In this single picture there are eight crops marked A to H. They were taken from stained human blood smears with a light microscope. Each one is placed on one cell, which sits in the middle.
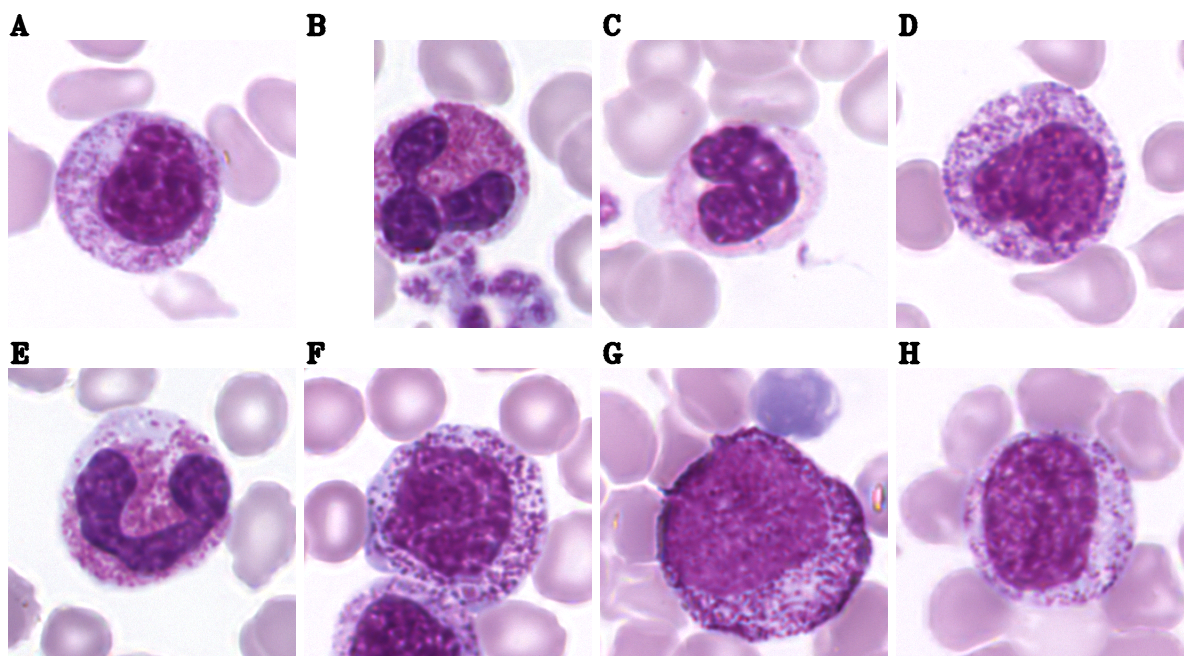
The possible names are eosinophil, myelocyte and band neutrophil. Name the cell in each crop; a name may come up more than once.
A: myelocyte
B: eosinophil
C: band neutrophil
D: myelocyte
E: eosinophil
F: myelocyte
G: myelocyte
H: myelocyte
